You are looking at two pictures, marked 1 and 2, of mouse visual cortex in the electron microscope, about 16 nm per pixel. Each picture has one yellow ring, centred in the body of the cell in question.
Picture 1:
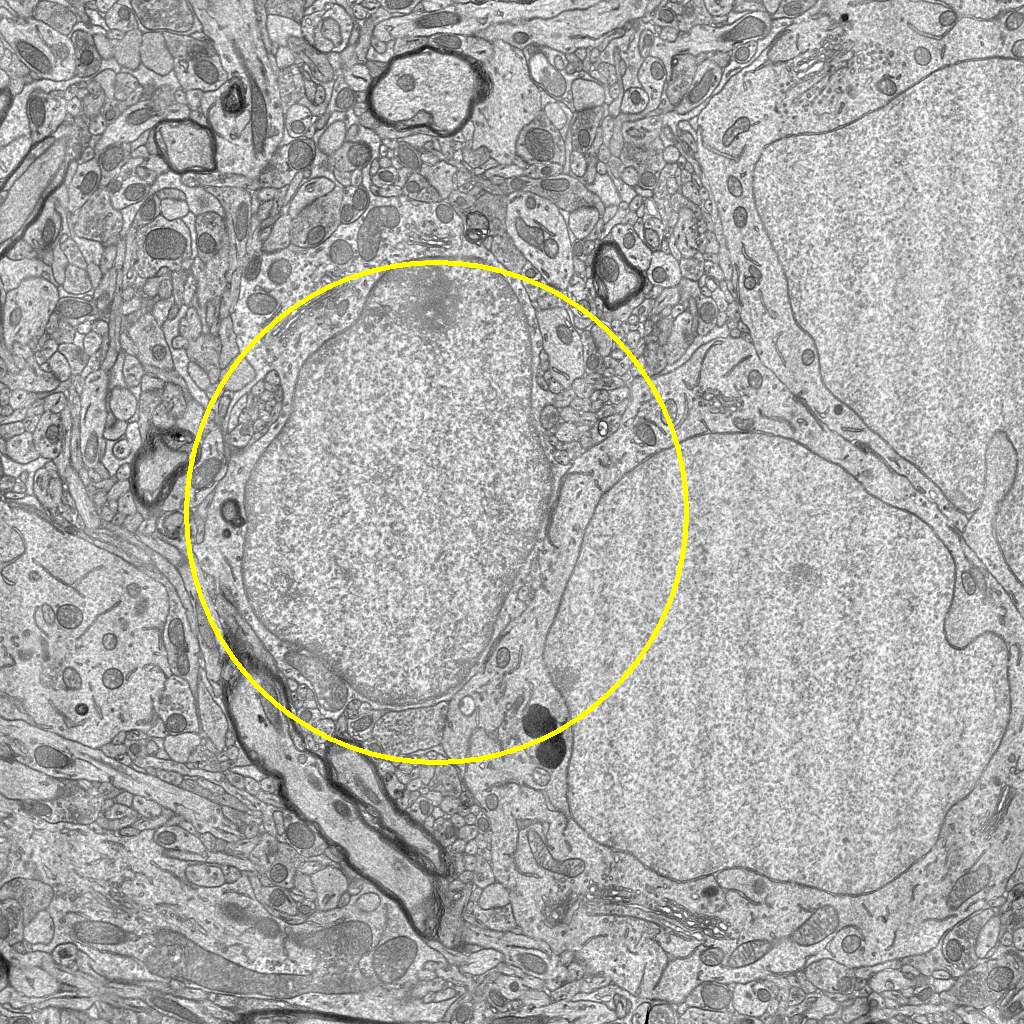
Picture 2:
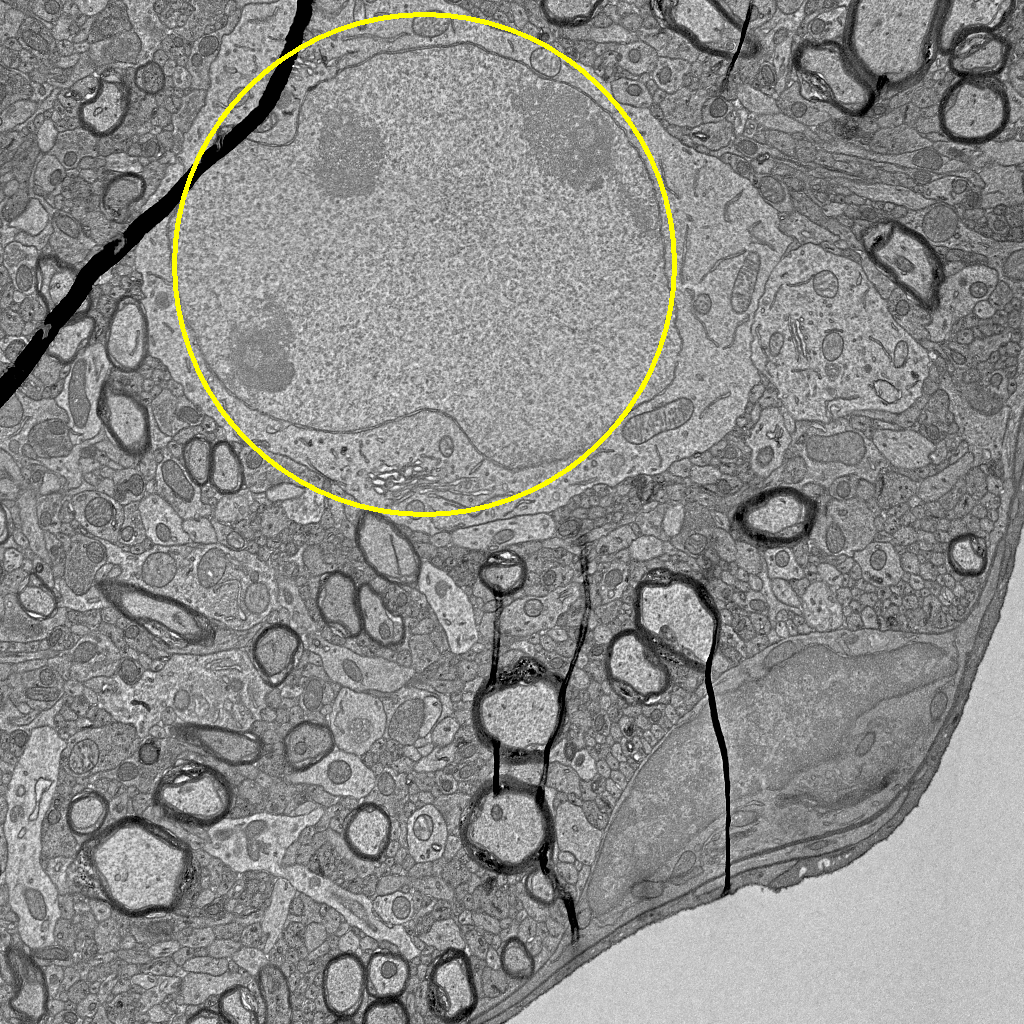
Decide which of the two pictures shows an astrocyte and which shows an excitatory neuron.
Picture 2 shows an excitatory neuron, while picture 1 shows an astrocyte.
